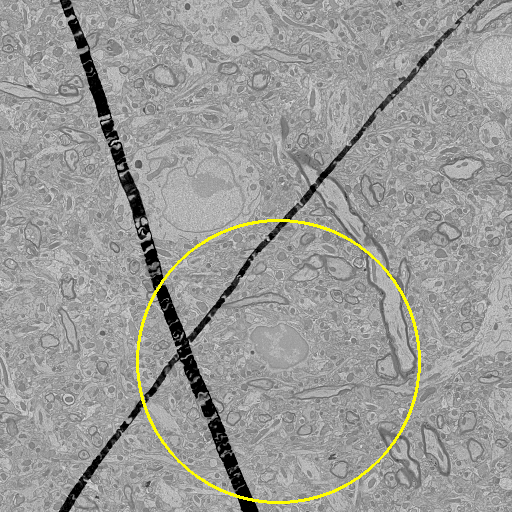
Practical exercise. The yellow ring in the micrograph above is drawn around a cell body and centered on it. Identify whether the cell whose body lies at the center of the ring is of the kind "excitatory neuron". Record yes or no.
no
